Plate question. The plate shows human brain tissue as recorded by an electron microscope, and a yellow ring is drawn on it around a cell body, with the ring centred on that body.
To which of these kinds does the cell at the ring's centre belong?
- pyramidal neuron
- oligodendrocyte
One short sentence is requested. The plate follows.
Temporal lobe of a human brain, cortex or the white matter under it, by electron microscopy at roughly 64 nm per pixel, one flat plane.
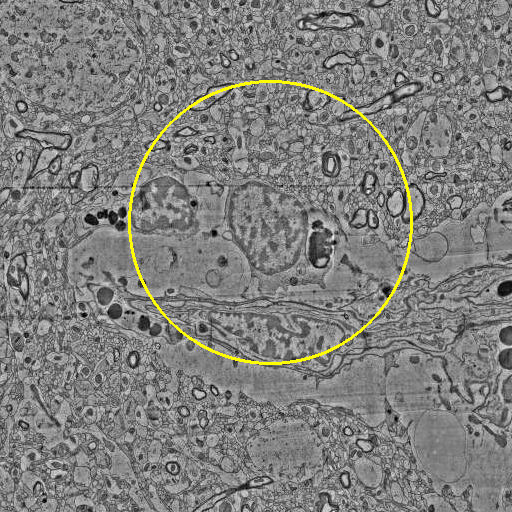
The cell at the ring's centre is an oligodendrocyte.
